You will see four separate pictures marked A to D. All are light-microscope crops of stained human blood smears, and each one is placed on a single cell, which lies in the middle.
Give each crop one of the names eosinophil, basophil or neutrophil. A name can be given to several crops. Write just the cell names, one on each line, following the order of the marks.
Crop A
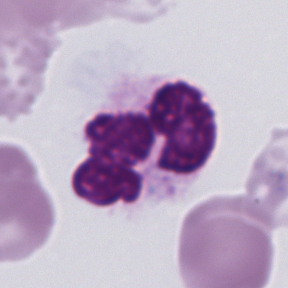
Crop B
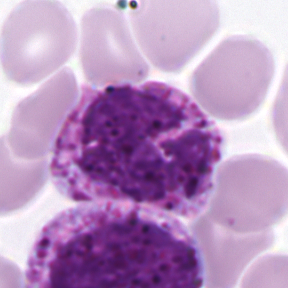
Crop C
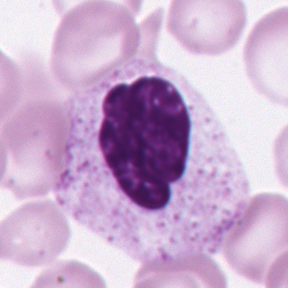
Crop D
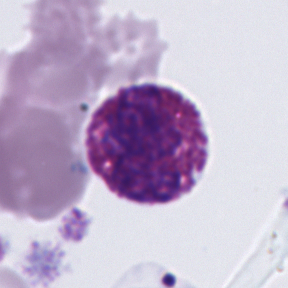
neutrophil
basophil
neutrophil
eosinophil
